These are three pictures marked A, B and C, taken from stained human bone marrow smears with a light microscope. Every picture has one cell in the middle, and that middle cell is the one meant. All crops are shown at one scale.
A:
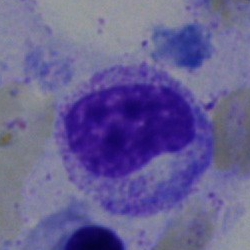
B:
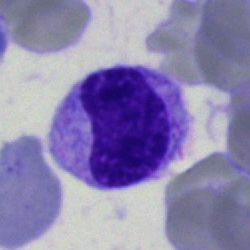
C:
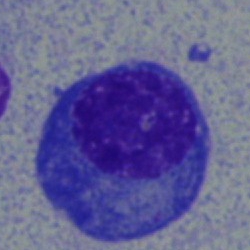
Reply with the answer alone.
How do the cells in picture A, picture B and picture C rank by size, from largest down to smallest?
C, A, B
